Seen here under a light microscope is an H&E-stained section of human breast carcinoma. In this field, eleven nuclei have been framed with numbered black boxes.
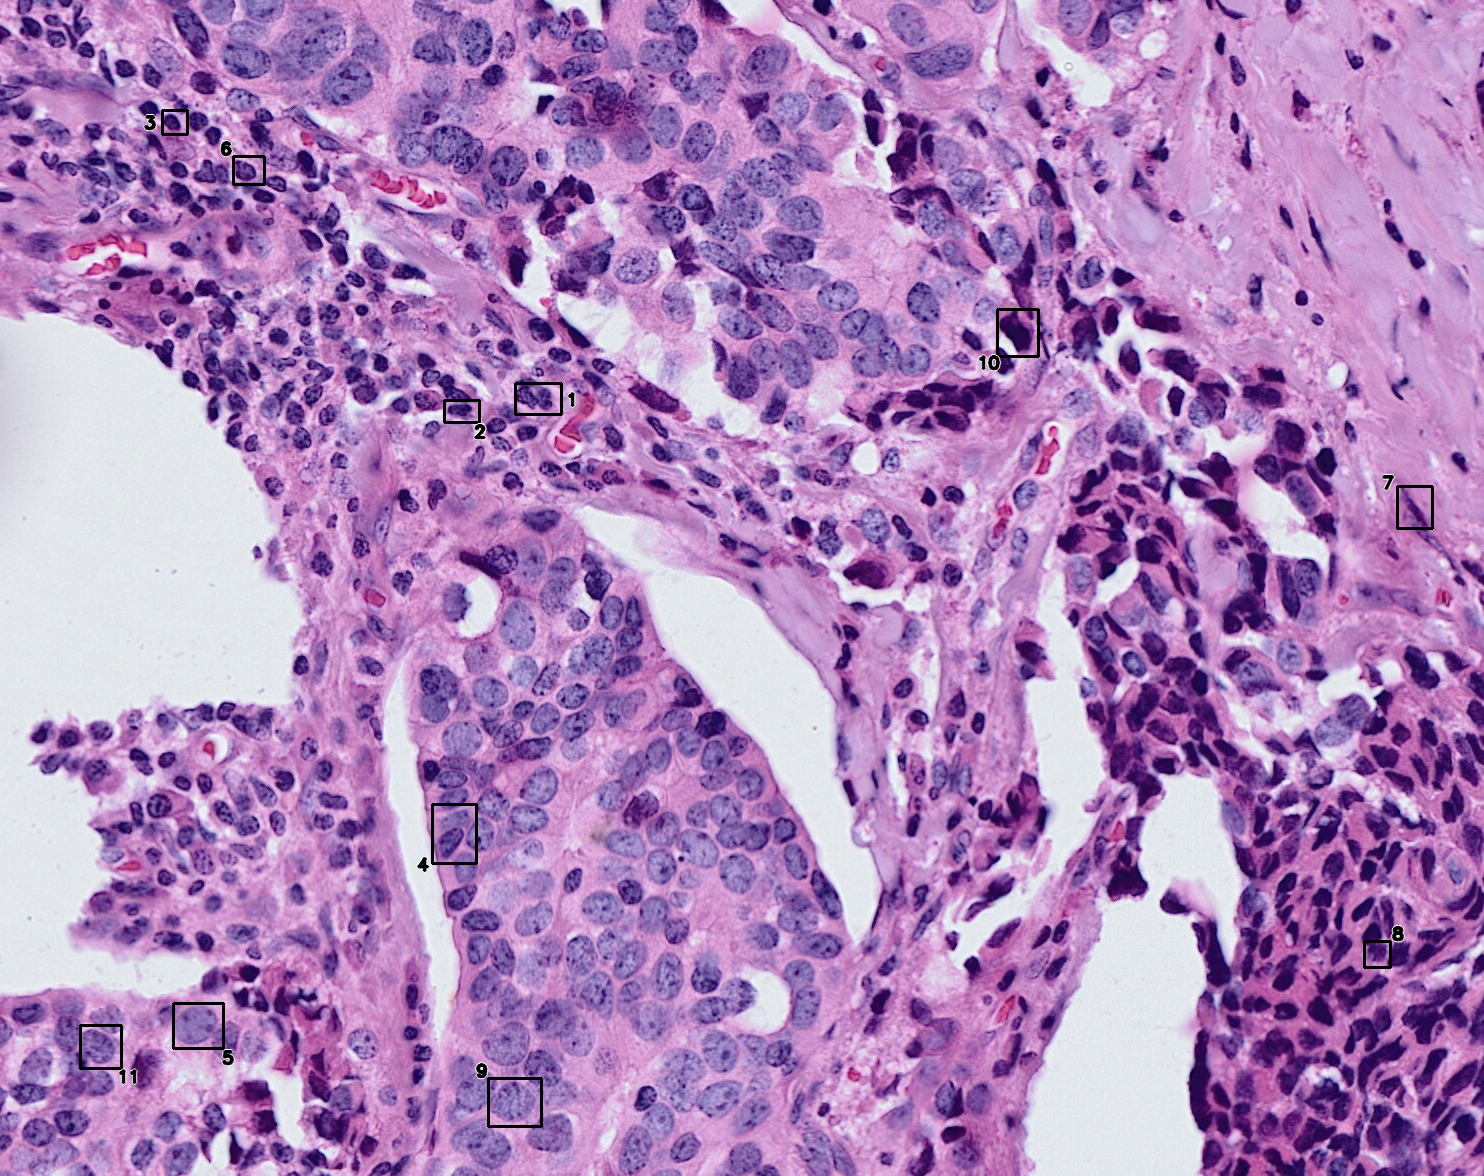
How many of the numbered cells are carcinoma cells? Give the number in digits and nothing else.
6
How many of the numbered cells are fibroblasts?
1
